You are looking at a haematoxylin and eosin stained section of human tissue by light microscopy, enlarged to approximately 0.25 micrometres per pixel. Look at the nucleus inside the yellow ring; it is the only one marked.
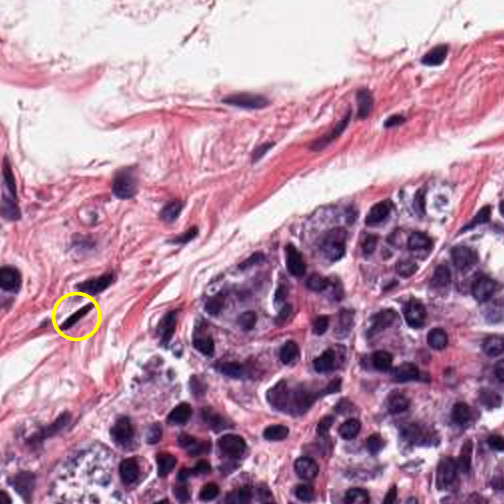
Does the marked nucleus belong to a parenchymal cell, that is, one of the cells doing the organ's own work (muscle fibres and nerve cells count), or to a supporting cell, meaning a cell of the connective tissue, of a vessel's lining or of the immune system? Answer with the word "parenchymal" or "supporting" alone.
supporting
